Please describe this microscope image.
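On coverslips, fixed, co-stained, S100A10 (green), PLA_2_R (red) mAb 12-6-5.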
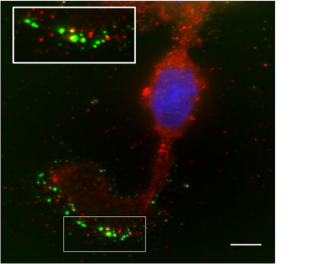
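A cultured podocyte with a compact oval blue nucleus lies in the upper part of the image, its red granular cytoplasm drawn out into a long slender process reaching downward and a second process running upward. Further small green and red dots are scattered over the lower part of the cell.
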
